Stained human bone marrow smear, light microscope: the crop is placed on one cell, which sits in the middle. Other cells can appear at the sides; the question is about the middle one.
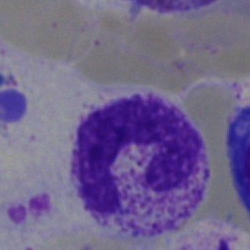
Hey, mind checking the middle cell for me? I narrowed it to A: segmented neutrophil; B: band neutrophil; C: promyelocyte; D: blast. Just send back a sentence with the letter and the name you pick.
Option B is correct here, and the cell in the middle is a band neutrophil.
